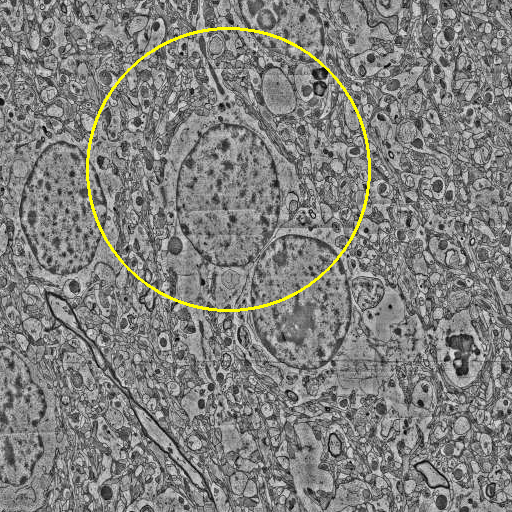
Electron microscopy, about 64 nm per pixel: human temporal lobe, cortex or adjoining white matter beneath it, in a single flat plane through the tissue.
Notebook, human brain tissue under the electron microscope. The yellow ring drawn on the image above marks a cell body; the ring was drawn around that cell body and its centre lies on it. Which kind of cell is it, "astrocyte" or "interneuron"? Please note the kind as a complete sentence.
The marked cell body is that of an astrocyte.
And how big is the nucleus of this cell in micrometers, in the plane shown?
About 9 by 7 micrometres in this plane.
